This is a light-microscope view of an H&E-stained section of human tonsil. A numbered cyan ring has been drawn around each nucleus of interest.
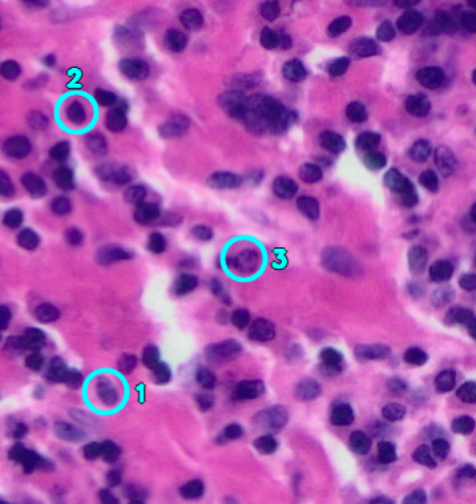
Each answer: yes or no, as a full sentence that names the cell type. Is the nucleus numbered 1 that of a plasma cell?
No, cell 1 is a mast cell and should not be called a plasma cell.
